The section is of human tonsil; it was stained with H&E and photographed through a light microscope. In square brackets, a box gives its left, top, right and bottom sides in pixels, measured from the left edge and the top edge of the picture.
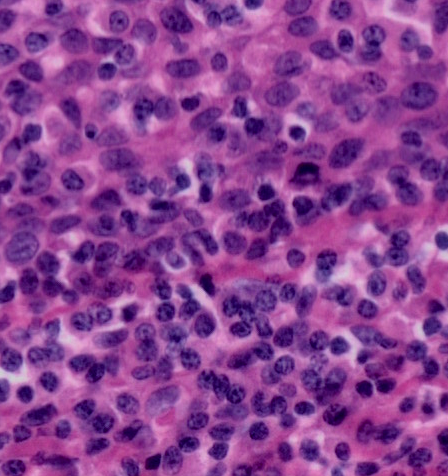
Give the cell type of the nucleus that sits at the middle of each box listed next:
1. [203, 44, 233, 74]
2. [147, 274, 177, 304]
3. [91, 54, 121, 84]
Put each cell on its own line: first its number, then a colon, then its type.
1: squamous epithelial cell
2: plasma cell
3: squamous epithelial cell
